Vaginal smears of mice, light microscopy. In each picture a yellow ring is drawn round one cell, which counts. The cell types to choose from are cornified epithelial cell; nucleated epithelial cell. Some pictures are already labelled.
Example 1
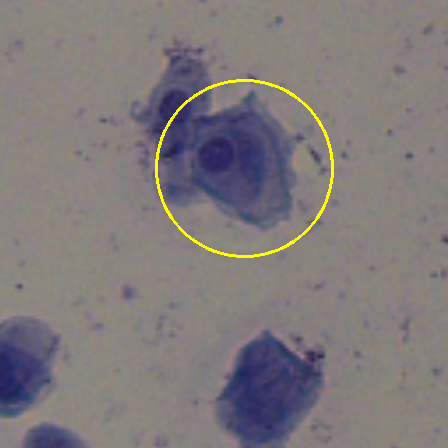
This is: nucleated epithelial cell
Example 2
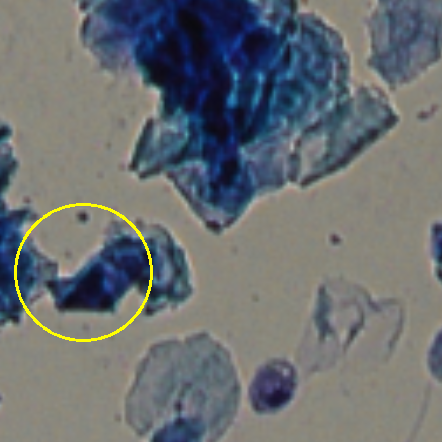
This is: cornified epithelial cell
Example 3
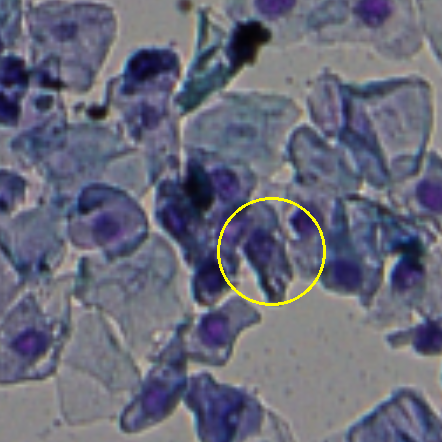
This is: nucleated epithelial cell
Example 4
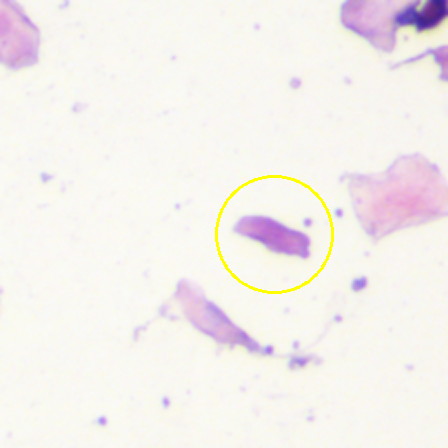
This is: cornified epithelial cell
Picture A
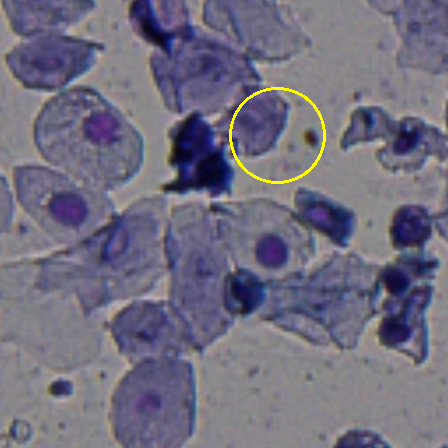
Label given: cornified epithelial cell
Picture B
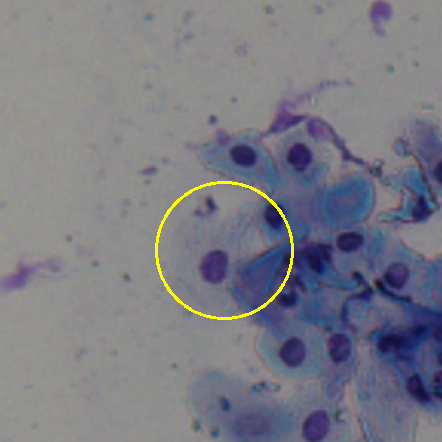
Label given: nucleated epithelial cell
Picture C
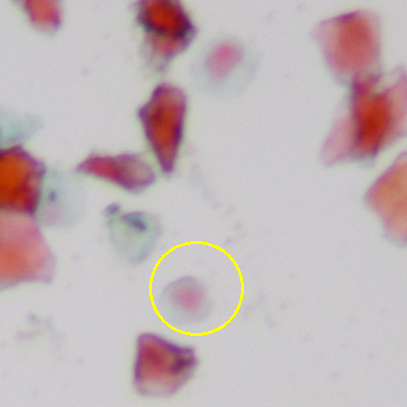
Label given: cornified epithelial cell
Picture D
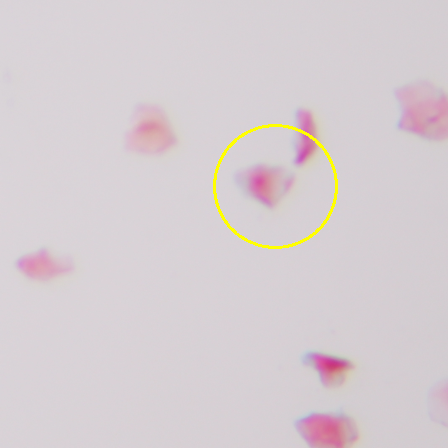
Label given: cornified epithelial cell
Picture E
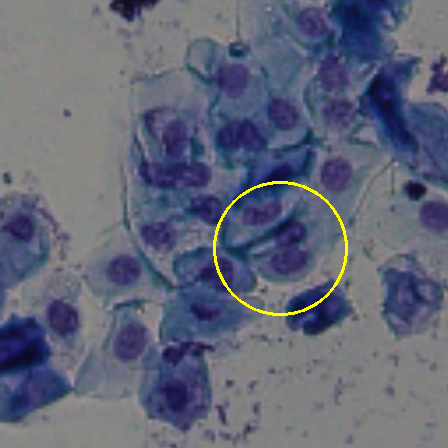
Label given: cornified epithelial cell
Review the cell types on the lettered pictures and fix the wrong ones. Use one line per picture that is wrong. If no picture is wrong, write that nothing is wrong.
Wrong: C (cornified epithelial cell); correct: nucleated epithelial cell
Wrong: E (cornified epithelial cell); correct: nucleated epithelial cell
